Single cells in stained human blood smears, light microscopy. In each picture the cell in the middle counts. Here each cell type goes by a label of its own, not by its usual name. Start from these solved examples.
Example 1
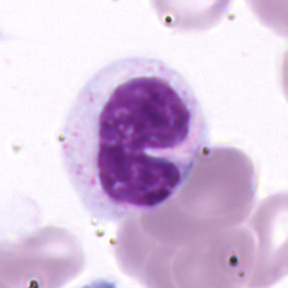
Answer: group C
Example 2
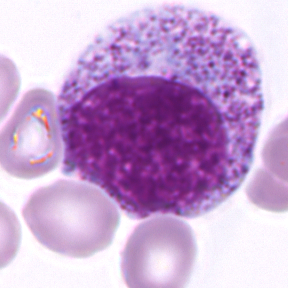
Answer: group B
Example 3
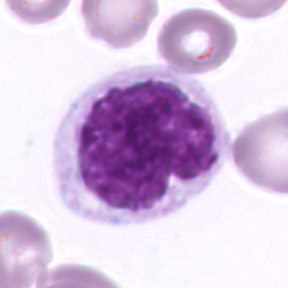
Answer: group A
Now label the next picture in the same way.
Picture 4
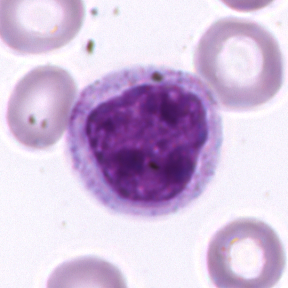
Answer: group A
